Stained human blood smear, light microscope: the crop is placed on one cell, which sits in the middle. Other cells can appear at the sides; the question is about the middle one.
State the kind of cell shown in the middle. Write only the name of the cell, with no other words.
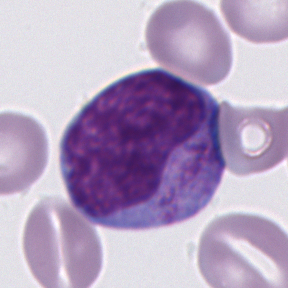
promyelocyte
